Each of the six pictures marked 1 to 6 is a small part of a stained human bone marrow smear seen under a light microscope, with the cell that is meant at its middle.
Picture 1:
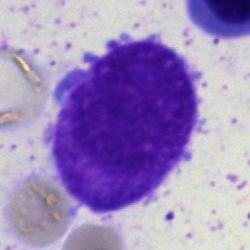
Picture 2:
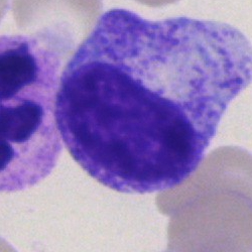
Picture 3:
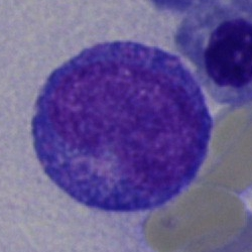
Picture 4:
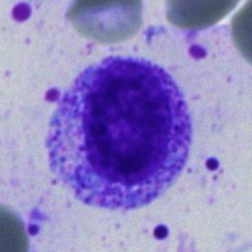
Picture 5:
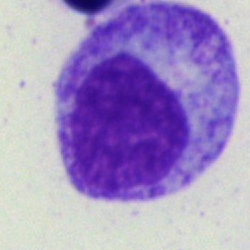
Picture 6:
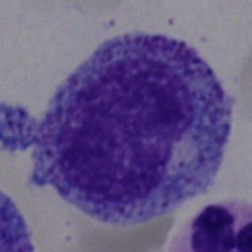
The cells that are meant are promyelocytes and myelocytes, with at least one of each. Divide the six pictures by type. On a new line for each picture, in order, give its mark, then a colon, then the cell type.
1: promyelocyte
2: myelocyte
3: promyelocyte
4: myelocyte
5: myelocyte
6: promyelocyte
